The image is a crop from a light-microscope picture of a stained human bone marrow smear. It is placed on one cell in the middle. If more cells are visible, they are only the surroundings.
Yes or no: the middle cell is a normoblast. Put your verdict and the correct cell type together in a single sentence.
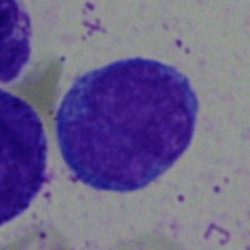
No, at the middle of the crop is a blast, not a normoblast.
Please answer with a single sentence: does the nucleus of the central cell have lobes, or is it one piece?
The nucleus amounts to one compact mass with a round, oval or kidney-shaped outline.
